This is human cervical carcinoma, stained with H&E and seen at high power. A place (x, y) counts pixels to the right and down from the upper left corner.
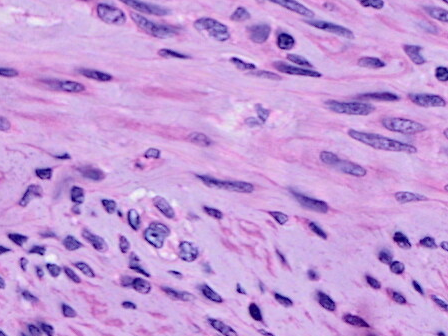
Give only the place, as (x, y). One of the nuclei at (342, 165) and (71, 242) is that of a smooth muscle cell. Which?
(342, 165)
